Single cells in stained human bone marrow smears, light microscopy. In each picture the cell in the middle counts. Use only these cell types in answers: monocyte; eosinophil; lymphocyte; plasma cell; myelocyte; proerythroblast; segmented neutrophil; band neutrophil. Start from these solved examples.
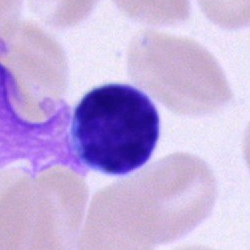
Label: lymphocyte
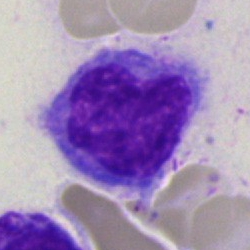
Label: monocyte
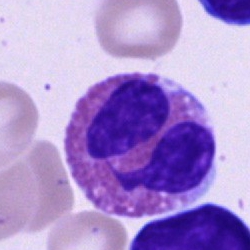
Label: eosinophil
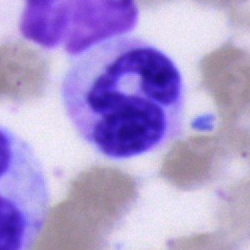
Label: segmented neutrophil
